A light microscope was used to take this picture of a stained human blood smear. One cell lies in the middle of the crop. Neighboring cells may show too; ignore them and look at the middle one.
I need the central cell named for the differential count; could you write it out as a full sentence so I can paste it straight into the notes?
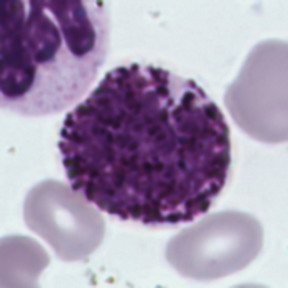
The middle position in this crop is taken by a basophil.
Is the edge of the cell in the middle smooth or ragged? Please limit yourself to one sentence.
Worth noting that the cell border is smooth and lacks projections.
